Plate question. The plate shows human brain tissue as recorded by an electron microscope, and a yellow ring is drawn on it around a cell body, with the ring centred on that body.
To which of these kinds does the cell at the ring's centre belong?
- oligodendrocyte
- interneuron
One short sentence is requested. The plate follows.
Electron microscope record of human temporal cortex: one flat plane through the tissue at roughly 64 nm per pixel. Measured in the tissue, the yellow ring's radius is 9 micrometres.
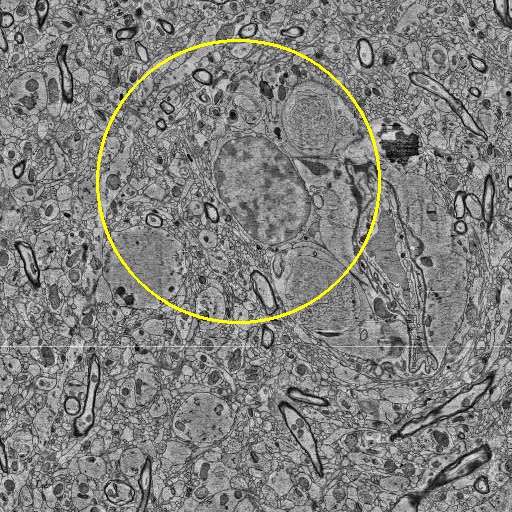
The cell at the ring's centre is an oligodendrocyte.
